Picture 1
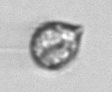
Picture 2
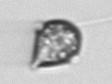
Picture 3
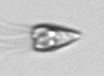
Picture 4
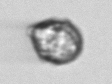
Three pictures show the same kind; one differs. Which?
Picture 3: Pyramimonas, while the others are Scrippsiella.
